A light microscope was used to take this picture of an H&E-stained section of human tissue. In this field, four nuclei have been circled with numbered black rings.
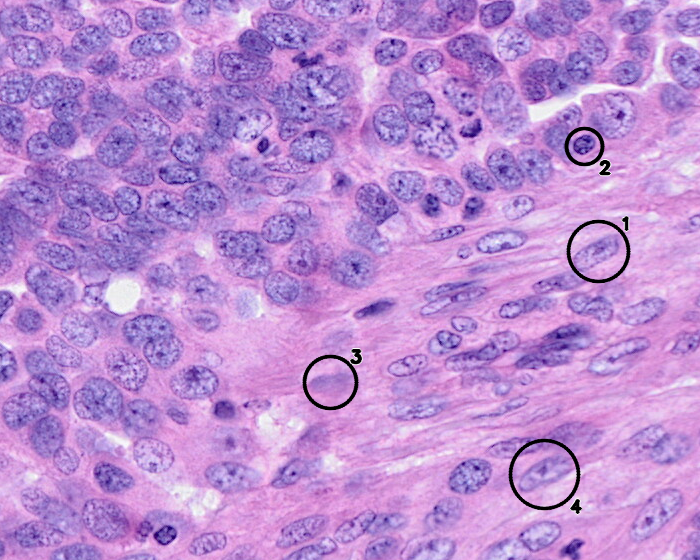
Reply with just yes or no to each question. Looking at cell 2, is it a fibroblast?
no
